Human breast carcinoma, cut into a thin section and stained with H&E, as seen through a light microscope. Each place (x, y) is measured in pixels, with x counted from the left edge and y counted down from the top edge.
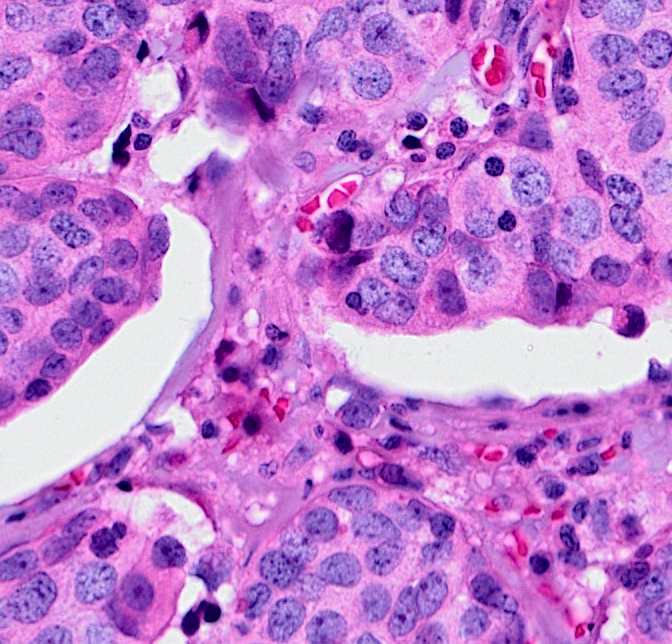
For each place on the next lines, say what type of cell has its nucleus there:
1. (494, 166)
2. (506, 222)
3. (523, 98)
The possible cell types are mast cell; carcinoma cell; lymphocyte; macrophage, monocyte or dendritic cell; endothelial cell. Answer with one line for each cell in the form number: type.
1: lymphocyte
2: lymphocyte
3: endothelial cell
